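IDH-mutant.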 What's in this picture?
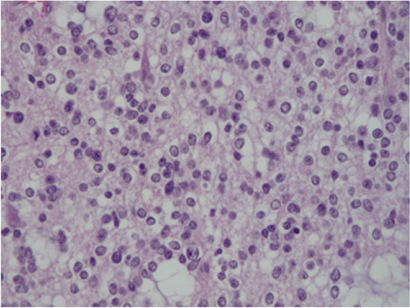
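This is a diffusely infiltrating, moderately cellular glial tumour made of neoplastic cells with round to oval, somewhat irregular, hyperchromatic purple nuclei scattered in a pink-violet fibrillary background. The nuclei vary modestly in size and shape, and some cells show a thin rim of eosinophilic cytoplasm. The background contains small clear vacuoles and microcystic spaces, especially toward the right side. Cells are not arranged in any particular pattern but are dispersed fairly evenly. No calcifications or necrosis are seen in this field.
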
